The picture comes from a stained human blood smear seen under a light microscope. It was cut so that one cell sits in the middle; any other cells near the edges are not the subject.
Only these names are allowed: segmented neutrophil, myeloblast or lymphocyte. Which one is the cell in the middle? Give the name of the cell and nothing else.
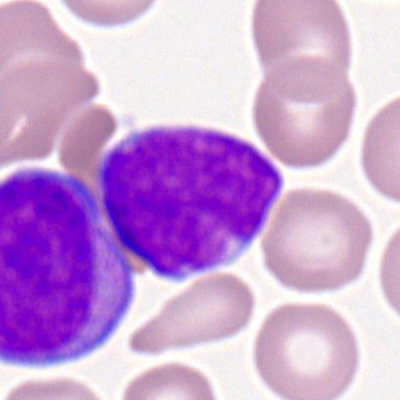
myeloblast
